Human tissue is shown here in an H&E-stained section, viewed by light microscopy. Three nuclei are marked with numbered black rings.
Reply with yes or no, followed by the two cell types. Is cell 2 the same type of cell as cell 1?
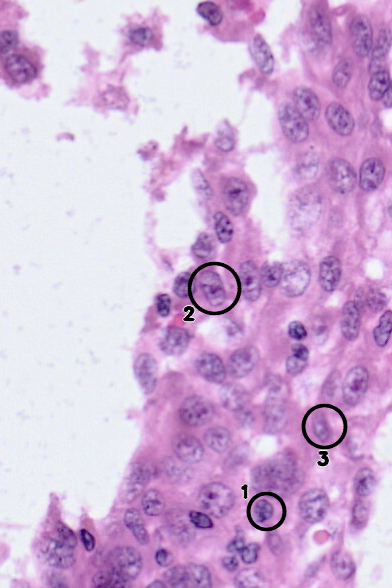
No, cell 2 is a melanoma cell, and cell 1, in contrast, is a lymphocyte.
